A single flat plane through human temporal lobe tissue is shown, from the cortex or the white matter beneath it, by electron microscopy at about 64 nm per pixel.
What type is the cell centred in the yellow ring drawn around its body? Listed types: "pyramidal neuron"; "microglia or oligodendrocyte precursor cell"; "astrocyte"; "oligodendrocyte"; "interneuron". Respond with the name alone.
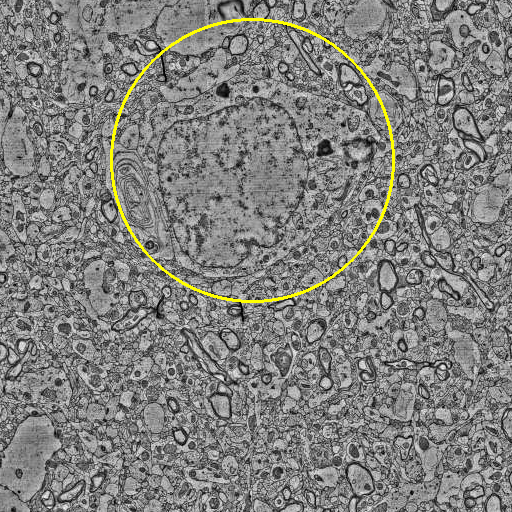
pyramidal neuron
